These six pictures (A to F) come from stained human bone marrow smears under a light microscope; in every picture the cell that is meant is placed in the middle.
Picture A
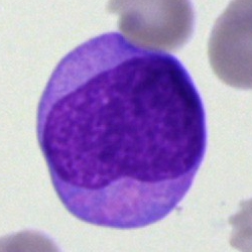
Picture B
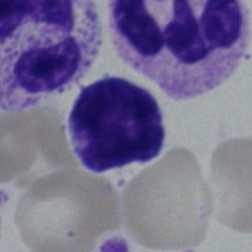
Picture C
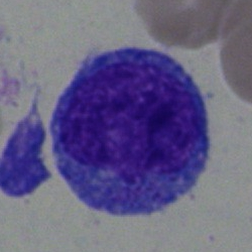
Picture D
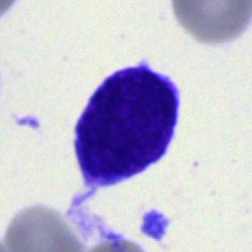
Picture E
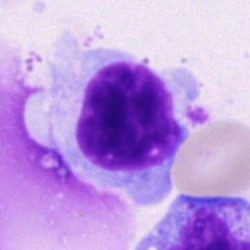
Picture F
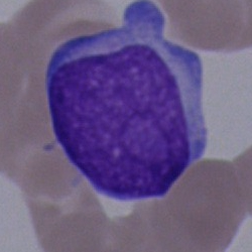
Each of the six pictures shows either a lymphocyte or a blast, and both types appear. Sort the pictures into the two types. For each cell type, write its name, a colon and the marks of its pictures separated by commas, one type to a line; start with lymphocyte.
lymphocyte: B, E
blast: A, C, D, F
